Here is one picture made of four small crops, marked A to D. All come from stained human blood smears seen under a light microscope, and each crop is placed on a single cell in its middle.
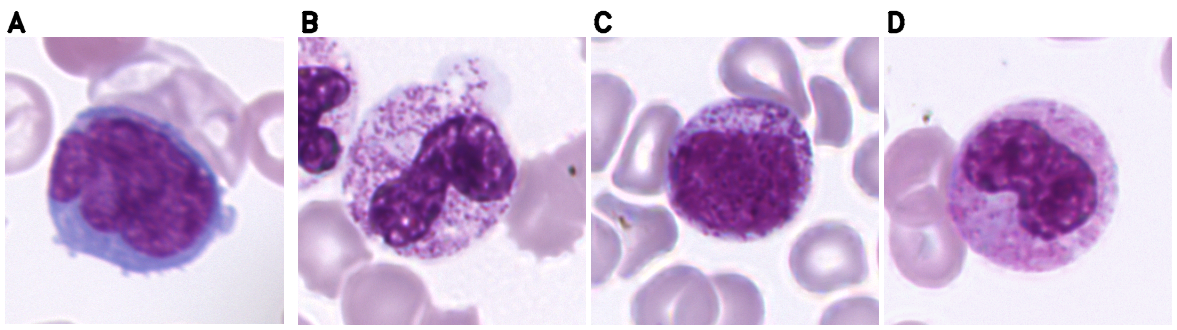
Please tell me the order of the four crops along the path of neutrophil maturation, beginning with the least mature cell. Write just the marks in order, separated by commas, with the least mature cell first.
A, C, D, B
